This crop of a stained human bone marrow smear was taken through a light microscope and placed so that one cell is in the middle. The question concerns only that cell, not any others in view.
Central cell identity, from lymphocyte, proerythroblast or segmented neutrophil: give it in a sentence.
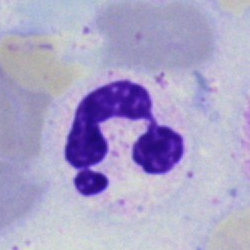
Seen at the centre of the crop is a segmented neutrophil.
